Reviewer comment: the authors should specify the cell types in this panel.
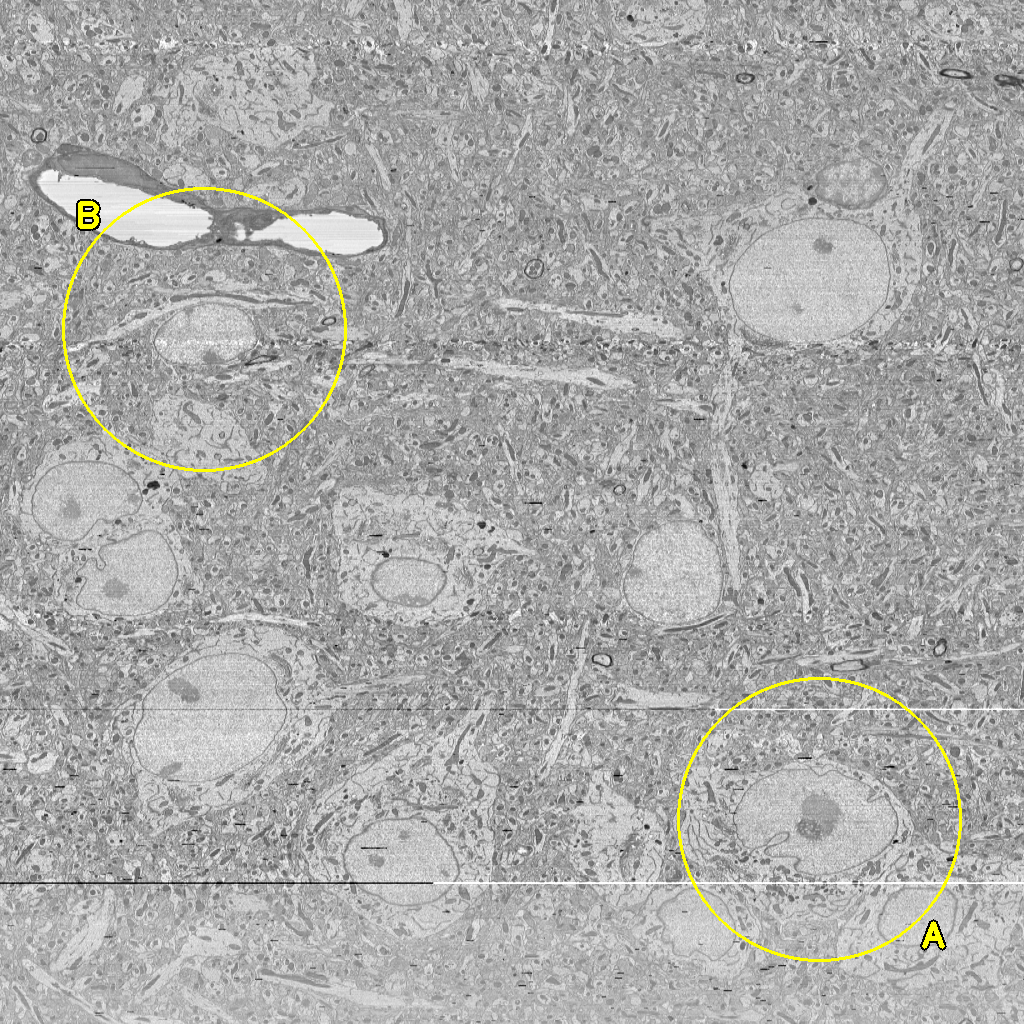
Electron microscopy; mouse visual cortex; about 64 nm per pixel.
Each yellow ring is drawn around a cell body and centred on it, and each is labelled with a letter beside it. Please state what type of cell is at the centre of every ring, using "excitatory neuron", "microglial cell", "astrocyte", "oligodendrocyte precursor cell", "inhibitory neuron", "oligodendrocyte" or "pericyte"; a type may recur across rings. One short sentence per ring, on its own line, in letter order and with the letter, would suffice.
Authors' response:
The cell centred within ring A is an inhibitory neuron.
The cell centred within ring B is an astrocyte.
